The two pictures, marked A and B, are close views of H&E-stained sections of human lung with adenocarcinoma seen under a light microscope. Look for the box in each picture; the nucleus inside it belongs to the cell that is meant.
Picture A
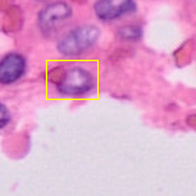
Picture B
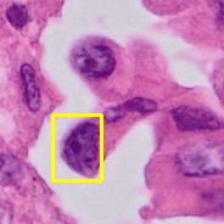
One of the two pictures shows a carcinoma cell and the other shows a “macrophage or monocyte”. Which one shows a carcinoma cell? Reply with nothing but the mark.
B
